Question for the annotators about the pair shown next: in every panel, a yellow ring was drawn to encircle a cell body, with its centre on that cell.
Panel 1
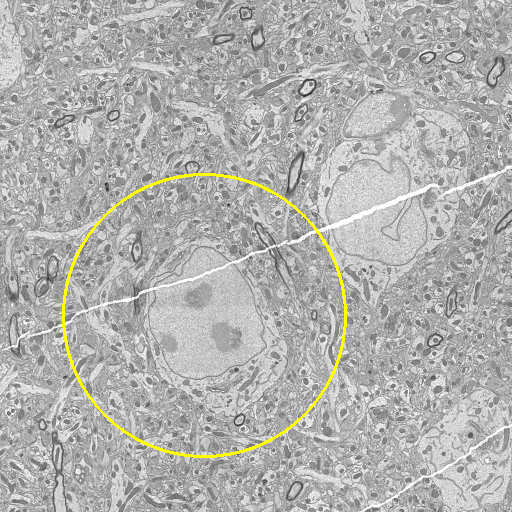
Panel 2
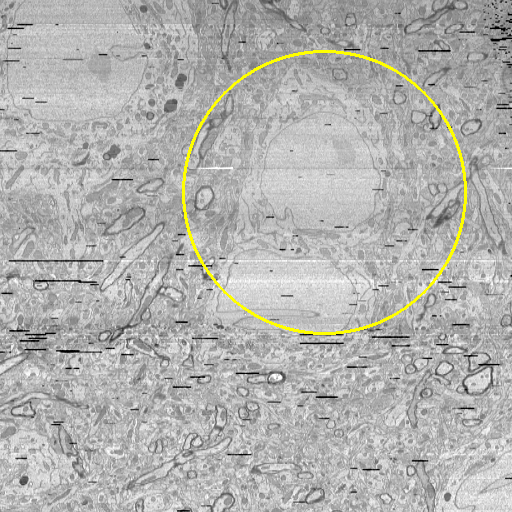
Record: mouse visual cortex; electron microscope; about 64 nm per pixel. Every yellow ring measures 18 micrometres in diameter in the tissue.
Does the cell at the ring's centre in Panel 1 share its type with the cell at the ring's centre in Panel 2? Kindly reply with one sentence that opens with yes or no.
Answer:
Yes, in Panels 1 and 2 the cells at the ring centres belong to a single type.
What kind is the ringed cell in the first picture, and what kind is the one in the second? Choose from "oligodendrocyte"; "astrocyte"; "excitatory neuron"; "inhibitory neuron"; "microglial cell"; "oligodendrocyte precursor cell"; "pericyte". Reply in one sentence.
In each of the two pictures, the ringed cell is an excitatory neuron.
